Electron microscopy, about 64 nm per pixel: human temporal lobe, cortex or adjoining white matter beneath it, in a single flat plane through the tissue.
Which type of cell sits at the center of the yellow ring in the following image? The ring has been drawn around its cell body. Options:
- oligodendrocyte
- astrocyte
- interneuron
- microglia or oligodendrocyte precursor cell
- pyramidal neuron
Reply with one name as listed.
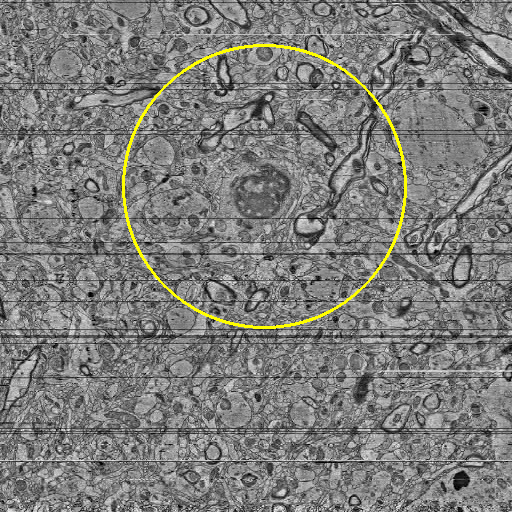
oligodendrocyte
